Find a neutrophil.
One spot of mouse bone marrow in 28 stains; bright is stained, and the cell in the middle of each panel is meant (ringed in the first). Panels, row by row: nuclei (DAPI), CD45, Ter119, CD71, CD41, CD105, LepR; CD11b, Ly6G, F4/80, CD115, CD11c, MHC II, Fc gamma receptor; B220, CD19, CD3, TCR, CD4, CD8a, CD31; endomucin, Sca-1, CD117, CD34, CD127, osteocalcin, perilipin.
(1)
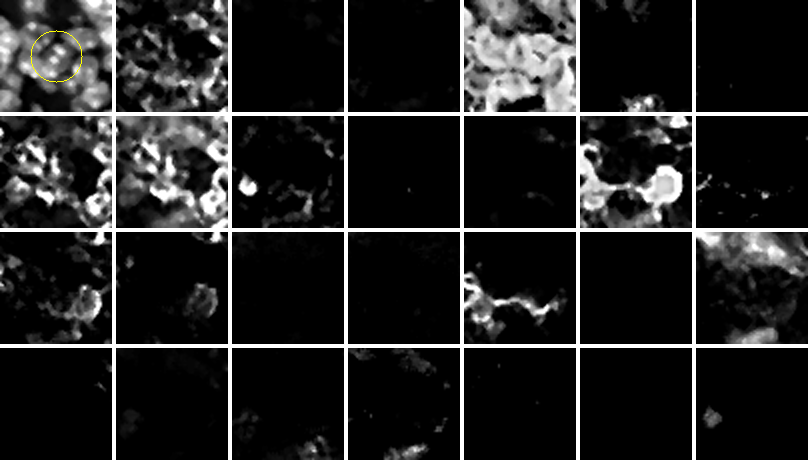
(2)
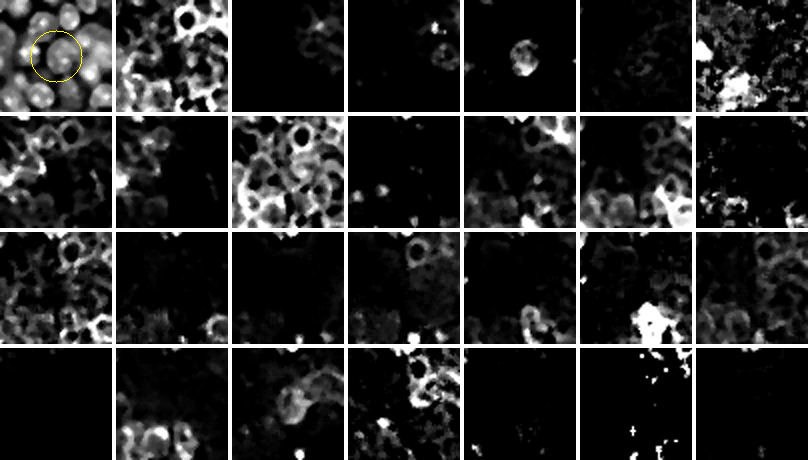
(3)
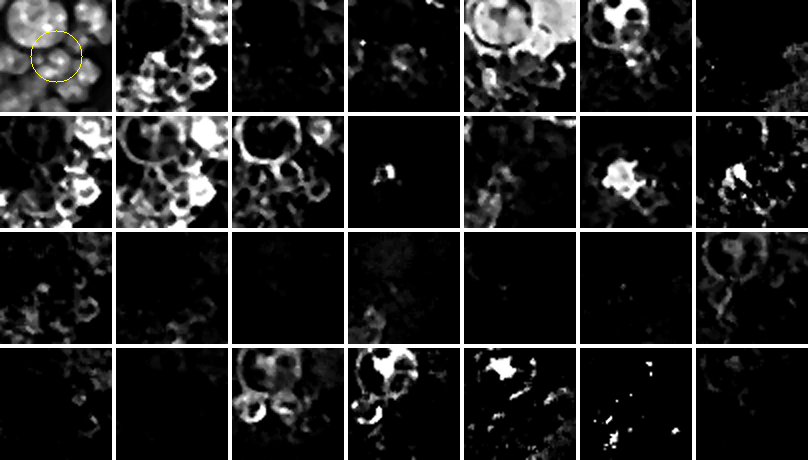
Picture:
1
